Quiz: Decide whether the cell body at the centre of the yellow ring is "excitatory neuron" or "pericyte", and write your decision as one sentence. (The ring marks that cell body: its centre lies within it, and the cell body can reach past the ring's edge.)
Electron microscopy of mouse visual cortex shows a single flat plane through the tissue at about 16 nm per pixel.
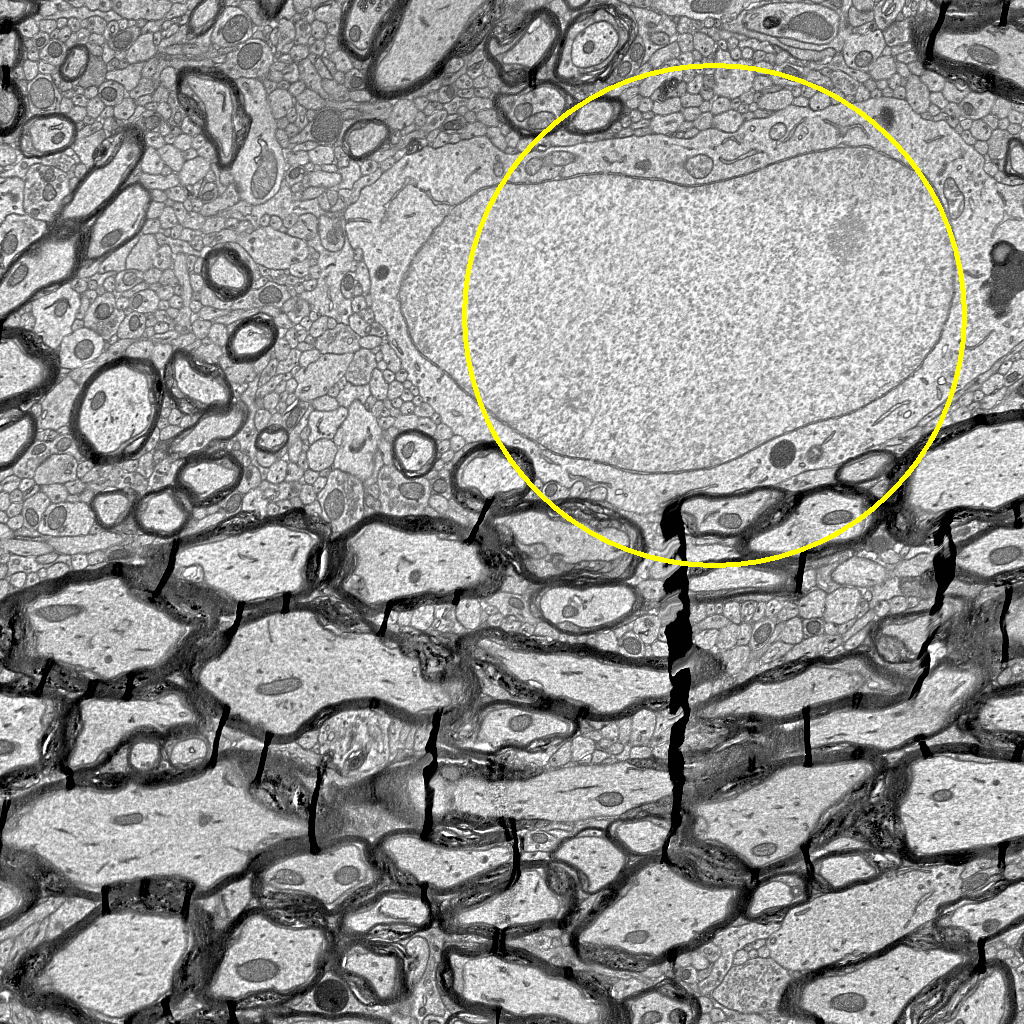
The cell holding the ring's centre is an excitatory neuron.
